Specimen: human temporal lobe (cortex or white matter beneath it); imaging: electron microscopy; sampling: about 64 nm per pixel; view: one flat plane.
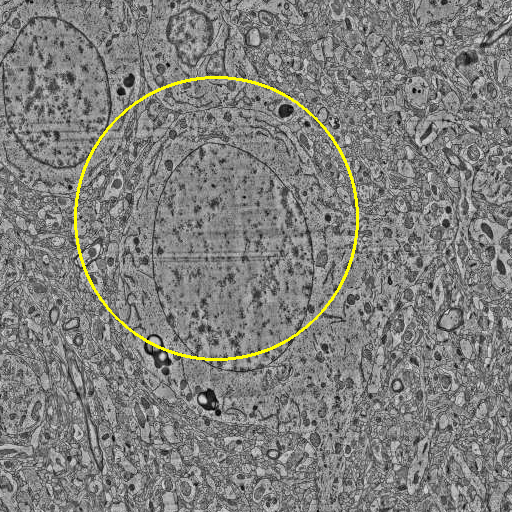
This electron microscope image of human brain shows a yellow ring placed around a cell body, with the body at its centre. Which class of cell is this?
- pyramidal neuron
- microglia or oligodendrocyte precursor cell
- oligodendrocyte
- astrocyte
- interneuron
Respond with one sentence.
The cell body at the ring's centre is a pyramidal neuron.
